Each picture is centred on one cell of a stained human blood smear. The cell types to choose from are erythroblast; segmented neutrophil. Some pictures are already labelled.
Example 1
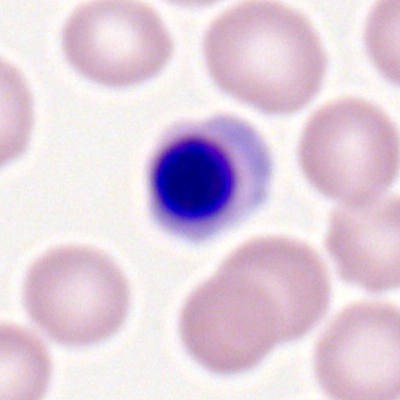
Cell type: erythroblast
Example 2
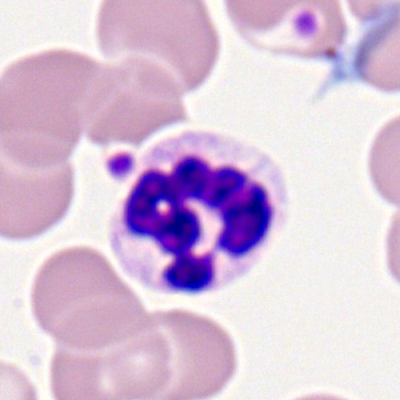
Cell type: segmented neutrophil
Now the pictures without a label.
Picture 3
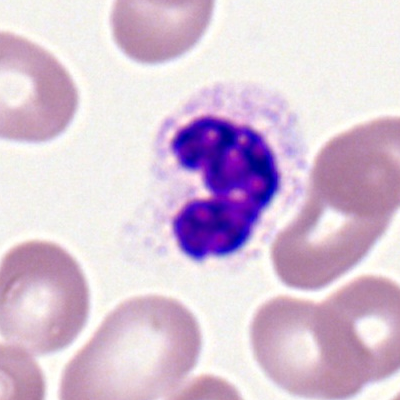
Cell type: segmented neutrophil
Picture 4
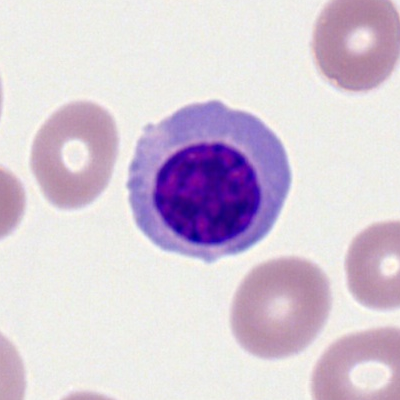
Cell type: erythroblast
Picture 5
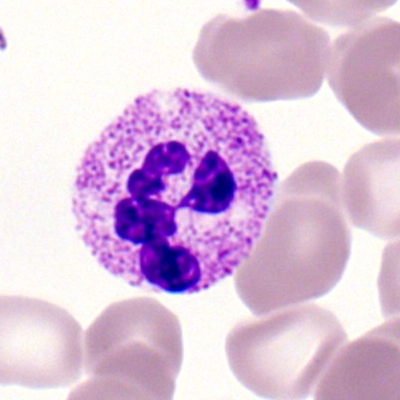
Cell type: segmented neutrophil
